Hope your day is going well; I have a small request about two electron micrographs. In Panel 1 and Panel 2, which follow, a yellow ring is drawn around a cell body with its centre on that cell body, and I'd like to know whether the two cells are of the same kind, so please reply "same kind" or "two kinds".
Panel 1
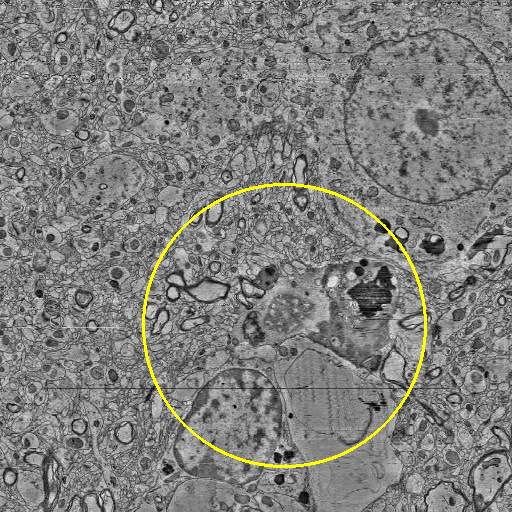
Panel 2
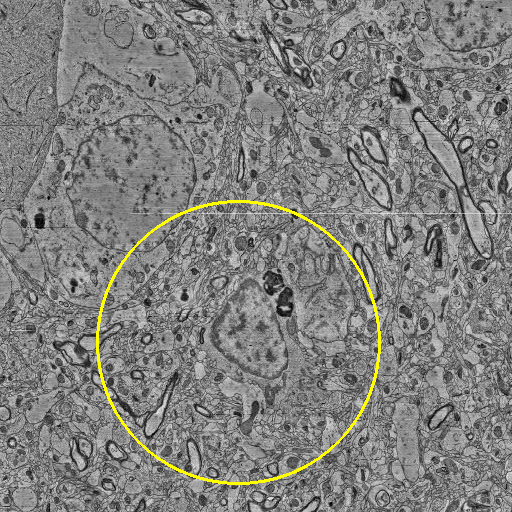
same kind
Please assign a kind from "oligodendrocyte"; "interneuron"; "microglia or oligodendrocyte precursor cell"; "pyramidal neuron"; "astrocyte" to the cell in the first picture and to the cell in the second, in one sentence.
In each of the two pictures, the ringed cell is an oligodendrocyte.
